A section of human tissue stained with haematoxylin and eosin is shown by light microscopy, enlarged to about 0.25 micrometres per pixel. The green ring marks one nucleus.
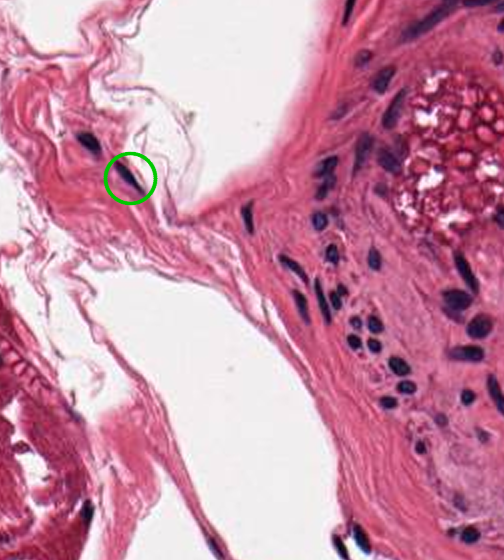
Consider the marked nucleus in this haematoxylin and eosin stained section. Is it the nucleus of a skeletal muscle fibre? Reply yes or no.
no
